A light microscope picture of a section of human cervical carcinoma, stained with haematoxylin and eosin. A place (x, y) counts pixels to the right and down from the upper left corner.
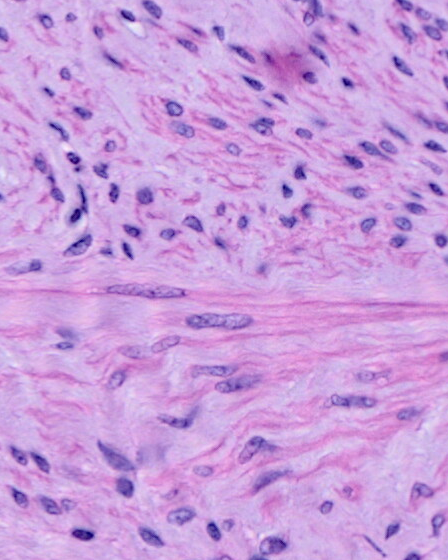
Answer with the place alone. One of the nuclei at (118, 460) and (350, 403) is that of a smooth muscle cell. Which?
(350, 403)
